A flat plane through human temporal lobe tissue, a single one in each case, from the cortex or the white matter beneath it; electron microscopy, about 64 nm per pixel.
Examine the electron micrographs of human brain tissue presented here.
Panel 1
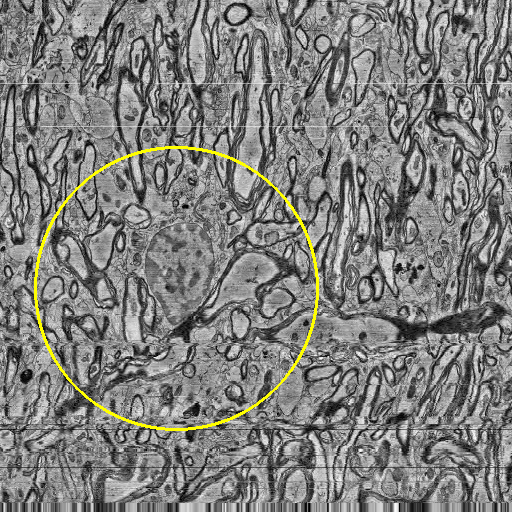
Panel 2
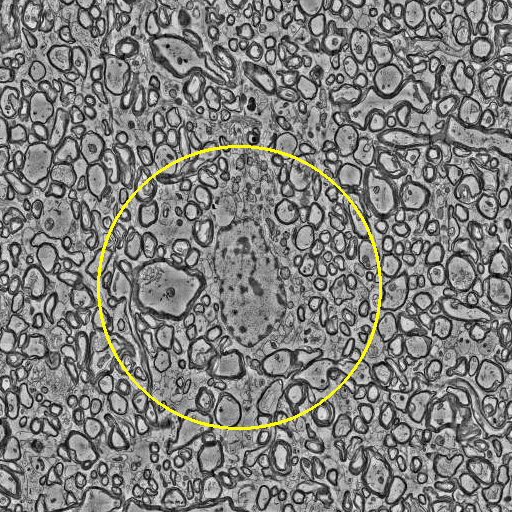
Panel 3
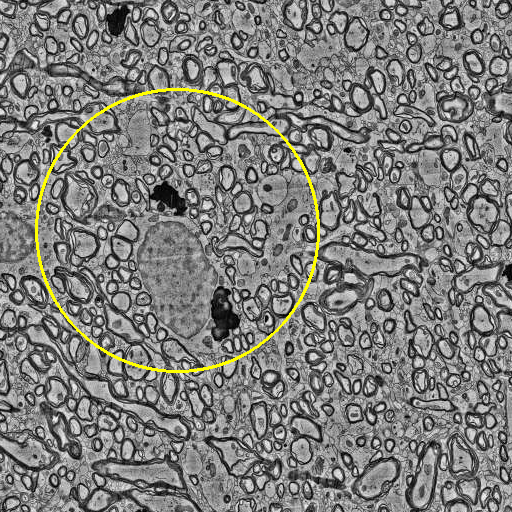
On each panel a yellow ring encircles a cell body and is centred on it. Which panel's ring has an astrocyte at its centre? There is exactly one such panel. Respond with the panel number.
2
